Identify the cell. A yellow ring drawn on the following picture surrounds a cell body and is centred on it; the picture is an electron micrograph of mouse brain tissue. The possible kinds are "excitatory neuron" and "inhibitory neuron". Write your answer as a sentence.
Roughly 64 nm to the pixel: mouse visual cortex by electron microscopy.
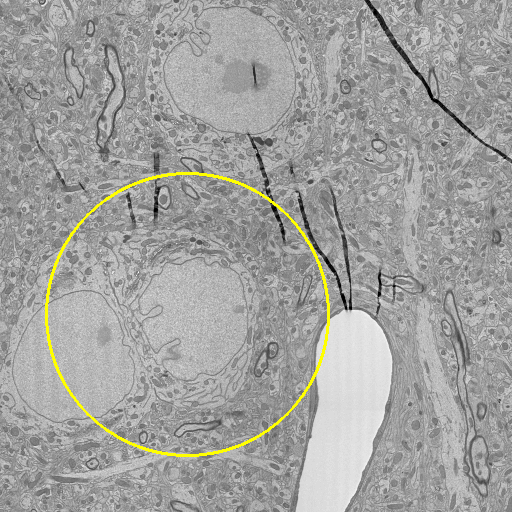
The cell identified by the ring is an inhibitory neuron.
